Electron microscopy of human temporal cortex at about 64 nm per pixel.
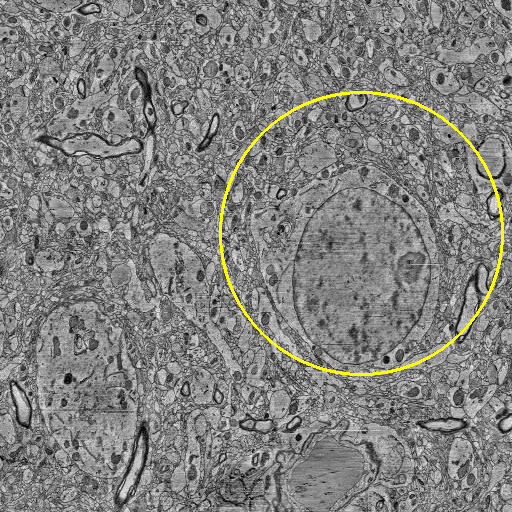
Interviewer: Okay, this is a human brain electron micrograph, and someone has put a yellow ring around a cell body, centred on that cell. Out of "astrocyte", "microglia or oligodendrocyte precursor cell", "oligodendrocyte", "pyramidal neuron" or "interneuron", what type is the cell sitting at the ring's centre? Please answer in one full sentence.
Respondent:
The cell at the centre of the yellow ring in this picture is a pyramidal neuron.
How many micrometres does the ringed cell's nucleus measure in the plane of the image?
In this plane, the nucleus of the cell at the centre of the ring measures about 12 by 9 micrometres.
